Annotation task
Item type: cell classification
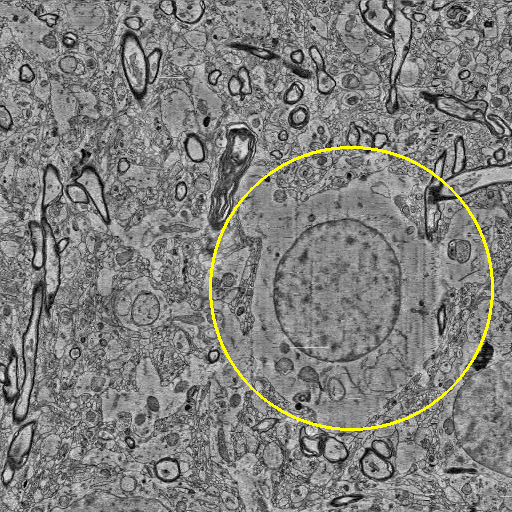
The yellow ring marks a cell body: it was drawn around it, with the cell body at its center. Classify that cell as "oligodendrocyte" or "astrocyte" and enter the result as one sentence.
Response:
The ring's center falls on an astrocyte.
